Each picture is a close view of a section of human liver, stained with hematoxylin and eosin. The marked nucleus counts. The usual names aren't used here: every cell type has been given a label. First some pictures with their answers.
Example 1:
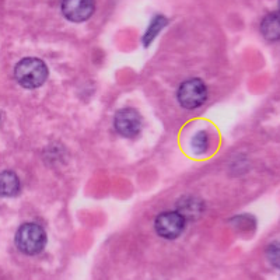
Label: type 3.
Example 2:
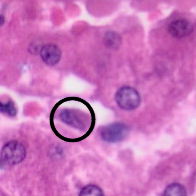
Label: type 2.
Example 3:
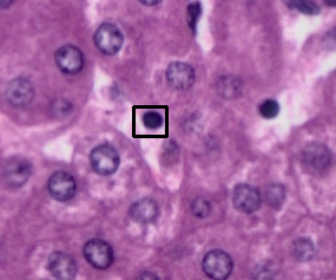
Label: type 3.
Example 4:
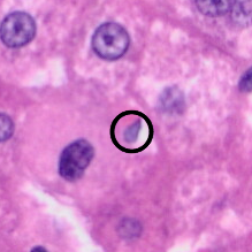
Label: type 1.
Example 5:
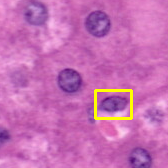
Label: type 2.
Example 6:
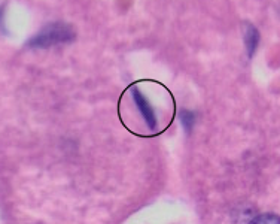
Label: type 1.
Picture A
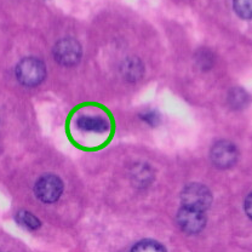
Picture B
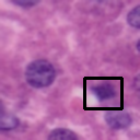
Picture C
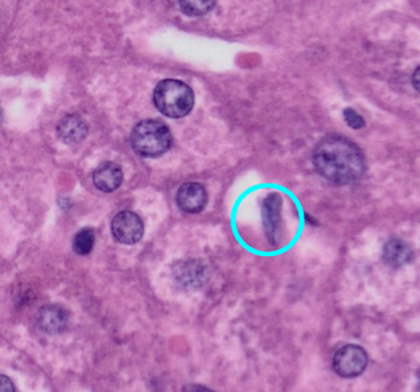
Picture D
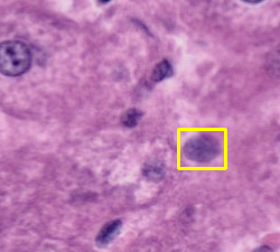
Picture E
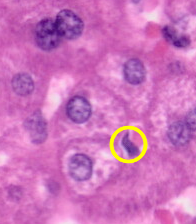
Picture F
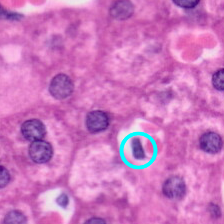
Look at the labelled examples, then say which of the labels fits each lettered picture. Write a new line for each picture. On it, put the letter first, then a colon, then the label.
A: type 3.
B: type 1.
C: type 2.
D: type 1.
E: type 1.
F: type 3.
